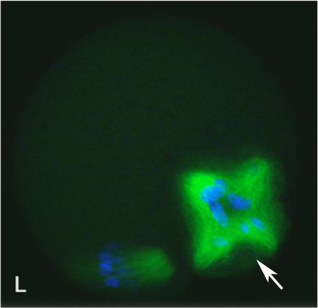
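A large round oocyte whose spindle has an abnormal shape. The bright green spindle is irregular, with several pointed poles instead of two. Blue chromosomes are scattered through it rather than lined up in one plane. At the edge of the cell lies a second, smaller green body holding a few blue chromosomes.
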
